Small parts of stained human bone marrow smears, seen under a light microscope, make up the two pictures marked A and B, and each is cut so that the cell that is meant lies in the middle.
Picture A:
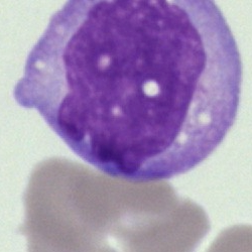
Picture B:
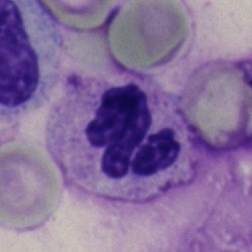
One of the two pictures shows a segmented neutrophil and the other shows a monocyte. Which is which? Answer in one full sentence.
It is picture A that shows a monocyte, and picture B that shows a segmented neutrophil.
